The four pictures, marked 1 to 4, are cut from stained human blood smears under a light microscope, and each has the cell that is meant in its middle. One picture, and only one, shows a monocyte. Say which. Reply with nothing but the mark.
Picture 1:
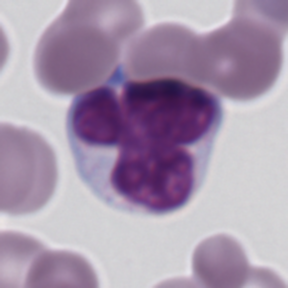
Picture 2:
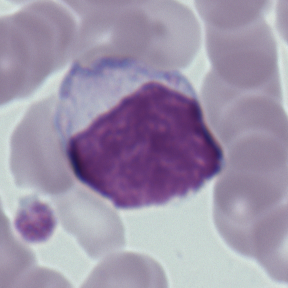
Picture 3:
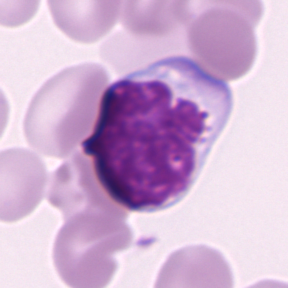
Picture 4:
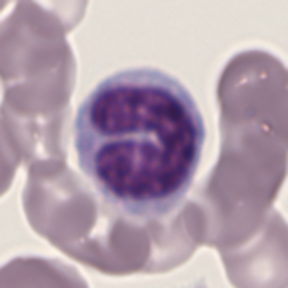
4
